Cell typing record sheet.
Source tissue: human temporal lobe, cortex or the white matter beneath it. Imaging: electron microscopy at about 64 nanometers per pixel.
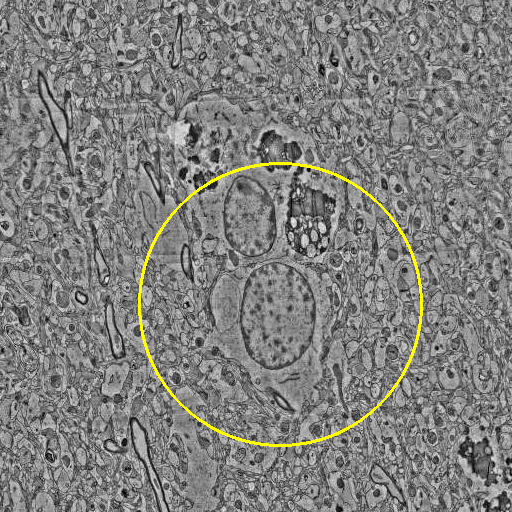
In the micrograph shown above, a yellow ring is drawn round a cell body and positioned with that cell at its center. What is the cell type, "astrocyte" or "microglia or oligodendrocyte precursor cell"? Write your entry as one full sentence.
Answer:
The cell body at the center of the ring belongs to an astrocyte.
